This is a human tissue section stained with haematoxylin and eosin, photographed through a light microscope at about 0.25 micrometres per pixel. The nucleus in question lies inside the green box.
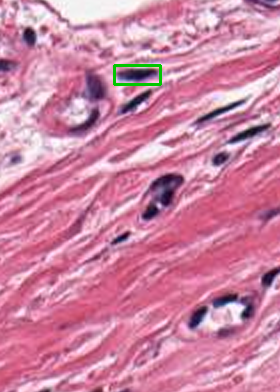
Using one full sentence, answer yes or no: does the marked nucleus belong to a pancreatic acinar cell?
No, that the marked nucleus belongs to a pancreatic acinar cell does not hold; it belongs to a supporting cell.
